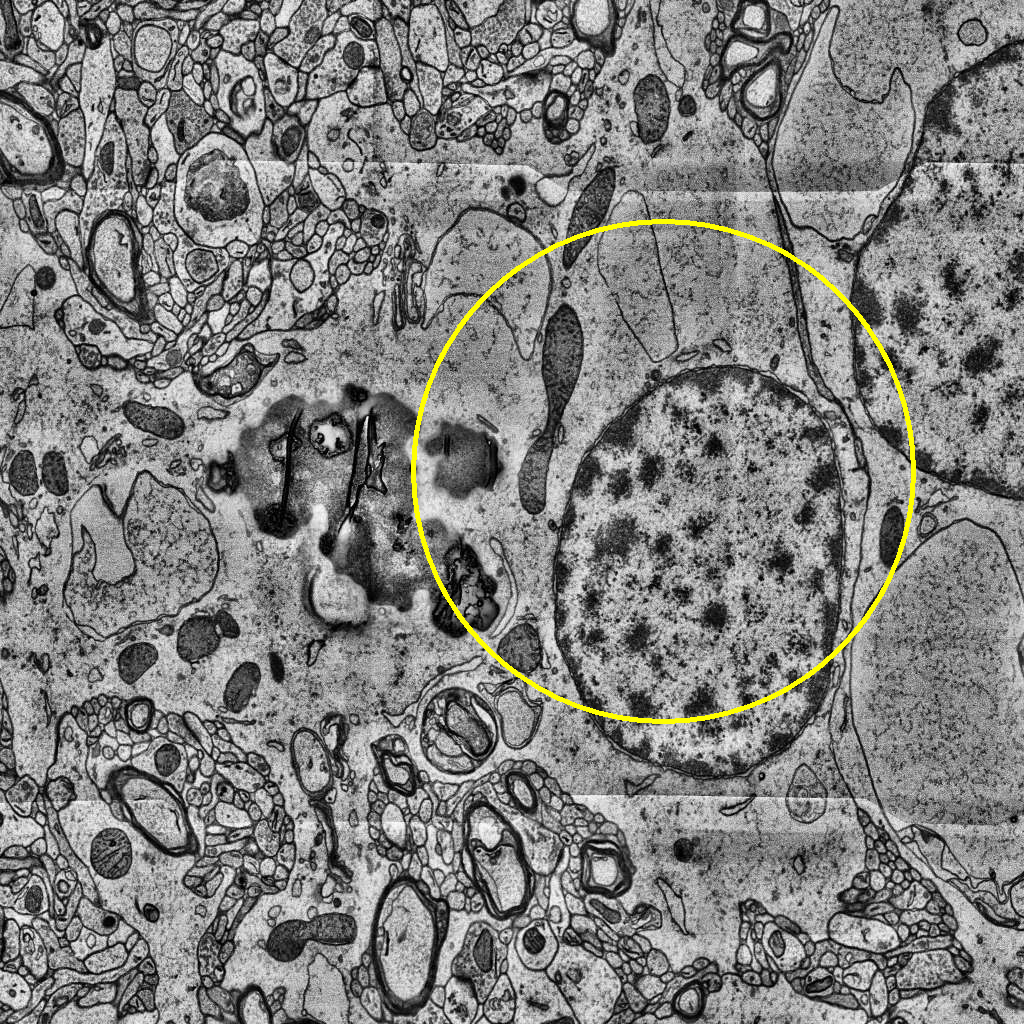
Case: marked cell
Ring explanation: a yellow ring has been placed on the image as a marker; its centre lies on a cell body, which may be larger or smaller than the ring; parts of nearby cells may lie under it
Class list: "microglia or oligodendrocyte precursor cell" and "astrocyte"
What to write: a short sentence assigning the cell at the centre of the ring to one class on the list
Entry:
The cell at the ring's centre is an astrocyte.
